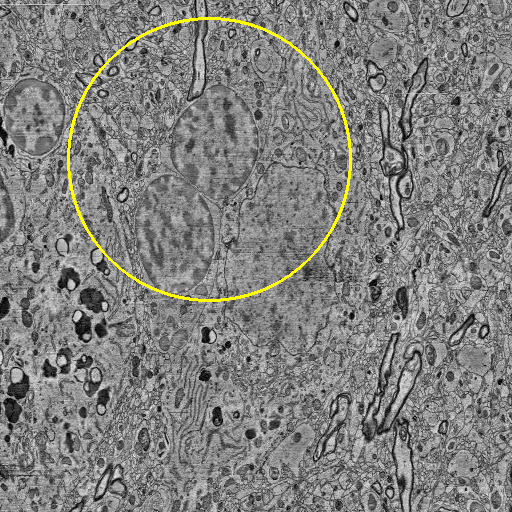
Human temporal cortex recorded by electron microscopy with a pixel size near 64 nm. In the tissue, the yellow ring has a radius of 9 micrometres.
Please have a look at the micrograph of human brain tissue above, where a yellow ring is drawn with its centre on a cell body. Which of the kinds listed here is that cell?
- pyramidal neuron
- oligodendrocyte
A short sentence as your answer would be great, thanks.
At the centre of the ring sits an oligodendrocyte.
